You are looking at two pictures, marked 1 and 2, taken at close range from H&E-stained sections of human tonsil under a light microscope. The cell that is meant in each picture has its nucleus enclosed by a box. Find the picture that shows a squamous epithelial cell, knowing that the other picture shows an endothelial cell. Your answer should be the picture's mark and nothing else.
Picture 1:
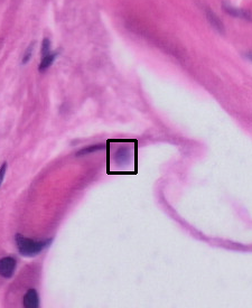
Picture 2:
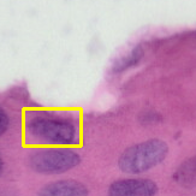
2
